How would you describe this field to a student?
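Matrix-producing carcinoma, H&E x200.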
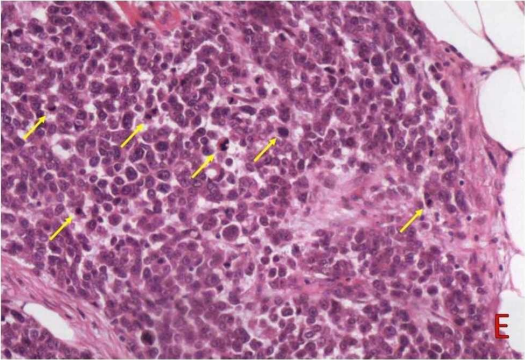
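Sheets of crowded, pleomorphic tumor cells fill most of the field, with fat cells at the right edge. The cells have enlarged round to oval purple nuclei, many with distinct nucleoli, and scant cytoplasm, and scattered cells show dark condensed chromatin.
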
